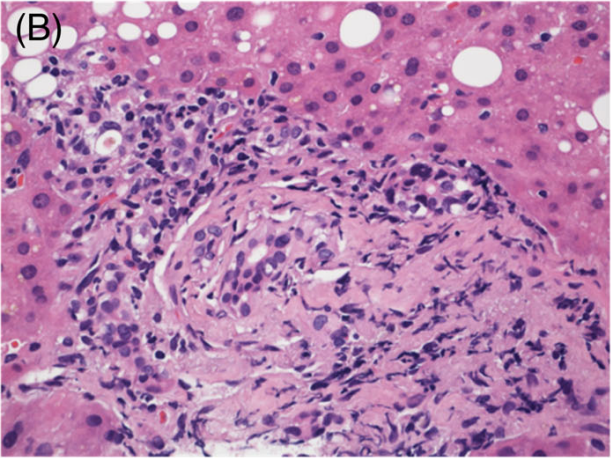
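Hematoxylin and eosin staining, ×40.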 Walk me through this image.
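This is liver with a portal tract in which a damaged interlobular bile duct is surrounded by a dense inflammatory infiltrate. Large polygonal hepatocytes with pink cytoplasm border the tract, several containing clear round vacuoles.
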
